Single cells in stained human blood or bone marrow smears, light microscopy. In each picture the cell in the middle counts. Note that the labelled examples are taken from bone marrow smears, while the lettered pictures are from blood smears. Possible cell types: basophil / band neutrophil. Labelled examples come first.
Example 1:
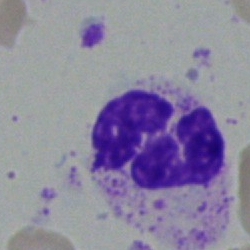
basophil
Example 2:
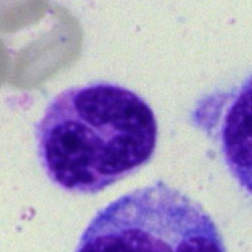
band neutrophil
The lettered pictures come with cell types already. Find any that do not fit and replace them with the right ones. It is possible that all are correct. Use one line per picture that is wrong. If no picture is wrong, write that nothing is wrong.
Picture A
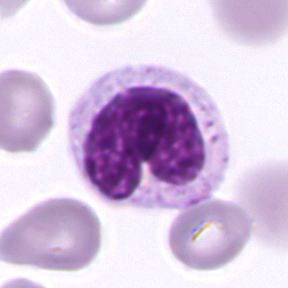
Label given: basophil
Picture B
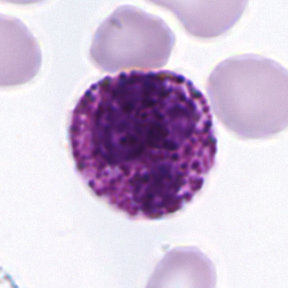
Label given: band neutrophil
A: band neutrophil, not basophil
B: basophil, not band neutrophil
